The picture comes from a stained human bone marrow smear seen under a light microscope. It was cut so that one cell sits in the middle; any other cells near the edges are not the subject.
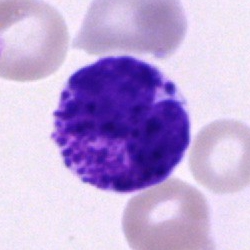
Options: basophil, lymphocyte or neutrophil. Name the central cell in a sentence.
The target cell in the middle of the crop is a basophil.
